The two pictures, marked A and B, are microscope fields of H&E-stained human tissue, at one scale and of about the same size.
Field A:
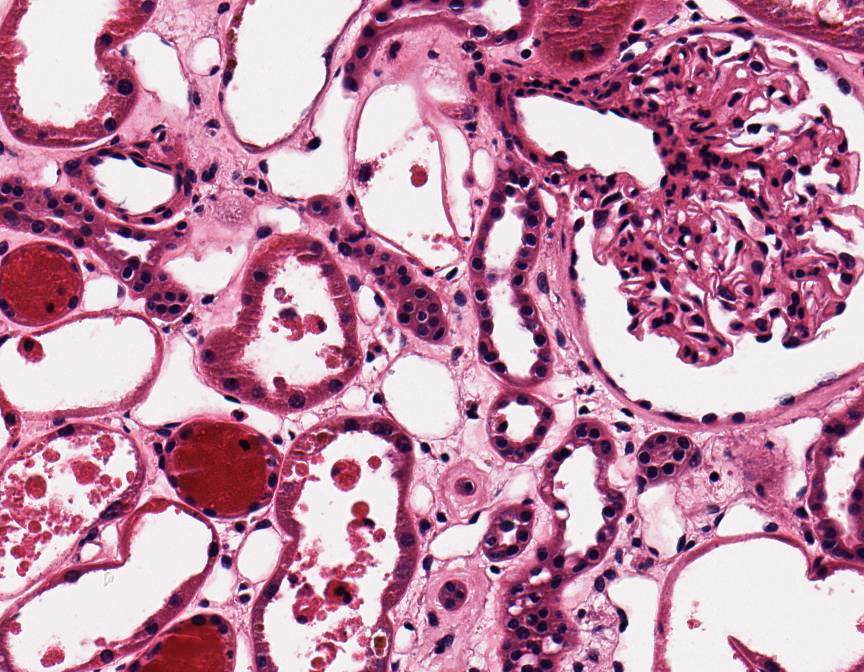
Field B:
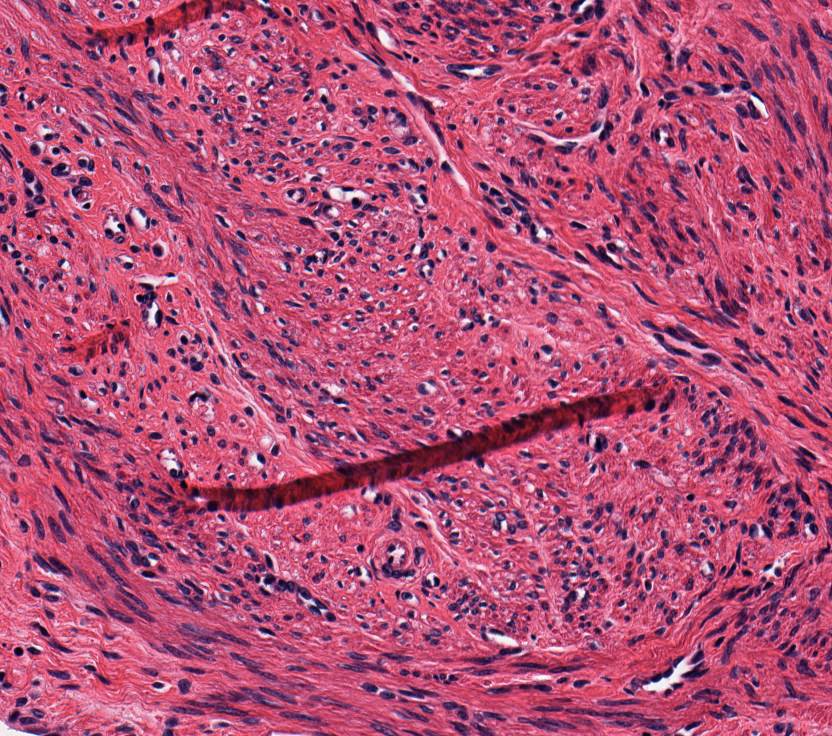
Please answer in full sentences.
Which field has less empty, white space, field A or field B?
Less of field B is empty and white.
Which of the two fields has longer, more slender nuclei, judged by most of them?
The nuclei are more elongated in field B.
